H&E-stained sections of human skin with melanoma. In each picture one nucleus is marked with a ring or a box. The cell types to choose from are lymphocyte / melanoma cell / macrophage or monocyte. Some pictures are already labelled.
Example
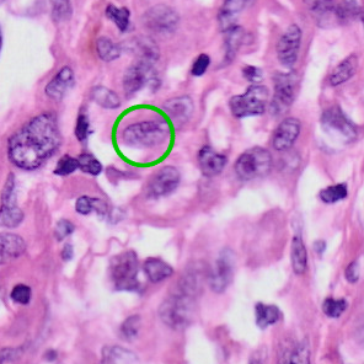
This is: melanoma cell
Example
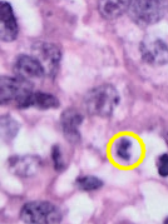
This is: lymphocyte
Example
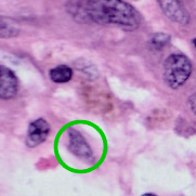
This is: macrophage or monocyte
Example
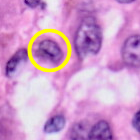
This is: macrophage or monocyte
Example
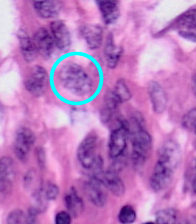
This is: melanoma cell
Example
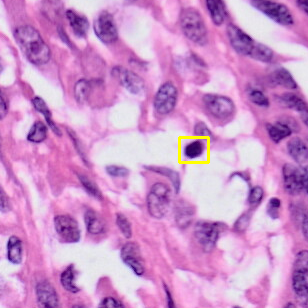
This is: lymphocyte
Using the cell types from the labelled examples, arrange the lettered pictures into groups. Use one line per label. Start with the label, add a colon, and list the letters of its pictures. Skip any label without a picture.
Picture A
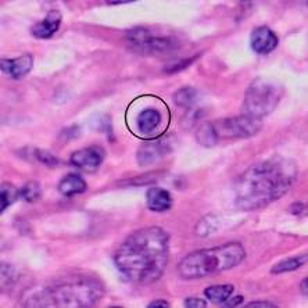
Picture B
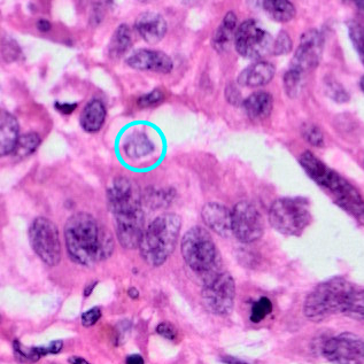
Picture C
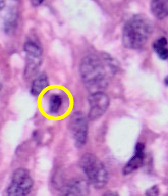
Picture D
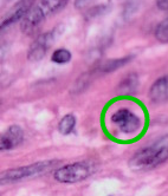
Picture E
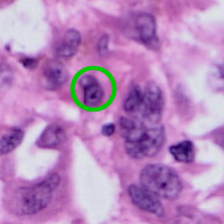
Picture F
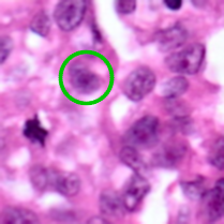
lymphocyte: A, C, D
melanoma cell: F
macrophage or monocyte: B, E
